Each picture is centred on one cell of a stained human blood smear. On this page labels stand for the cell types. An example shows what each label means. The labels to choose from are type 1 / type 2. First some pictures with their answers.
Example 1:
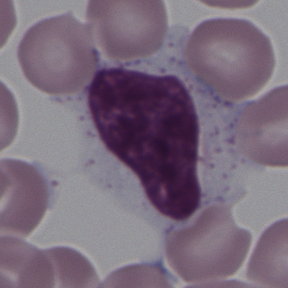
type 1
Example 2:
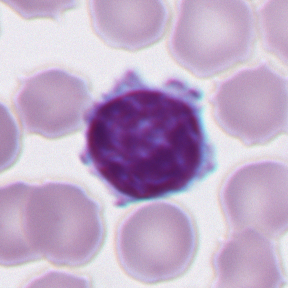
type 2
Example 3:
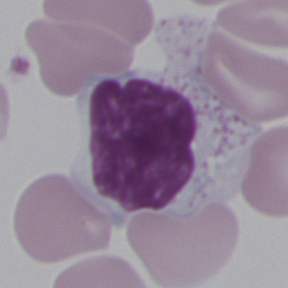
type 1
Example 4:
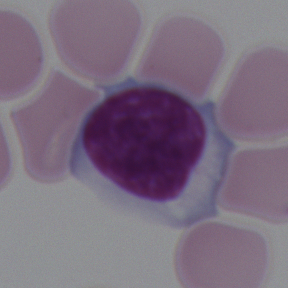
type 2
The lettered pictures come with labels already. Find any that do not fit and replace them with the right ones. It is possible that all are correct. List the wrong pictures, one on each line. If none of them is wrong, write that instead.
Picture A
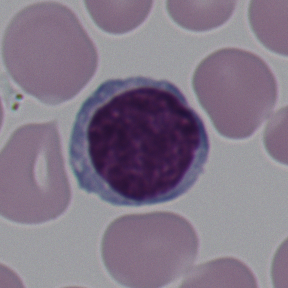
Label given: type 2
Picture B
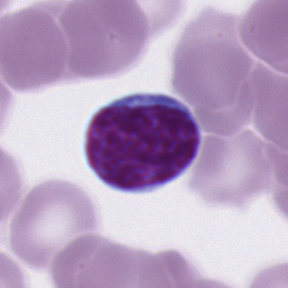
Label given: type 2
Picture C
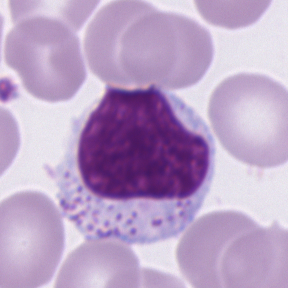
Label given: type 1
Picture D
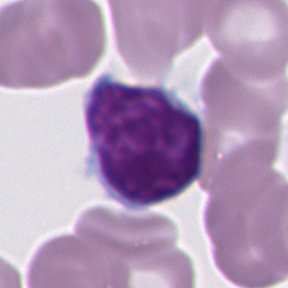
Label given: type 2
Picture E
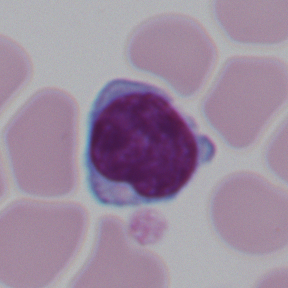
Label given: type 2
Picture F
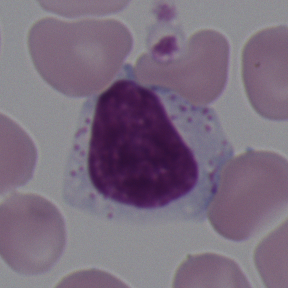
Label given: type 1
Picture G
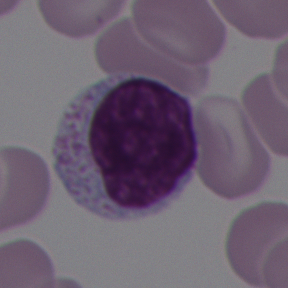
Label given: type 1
All correct.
